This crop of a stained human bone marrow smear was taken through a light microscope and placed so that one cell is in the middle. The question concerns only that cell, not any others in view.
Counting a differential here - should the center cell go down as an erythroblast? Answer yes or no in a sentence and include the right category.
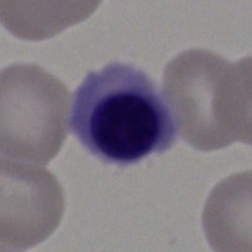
Yes, the cell found at the centre of the crop is an erythroblast.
